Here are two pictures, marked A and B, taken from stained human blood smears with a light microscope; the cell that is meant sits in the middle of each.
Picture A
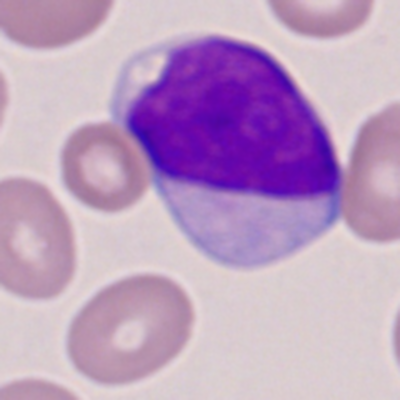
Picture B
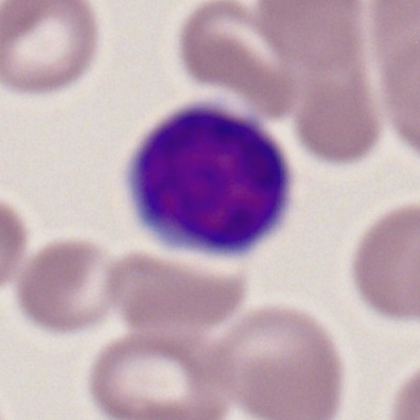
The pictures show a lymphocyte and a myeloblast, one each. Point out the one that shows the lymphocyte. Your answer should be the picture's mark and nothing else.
B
